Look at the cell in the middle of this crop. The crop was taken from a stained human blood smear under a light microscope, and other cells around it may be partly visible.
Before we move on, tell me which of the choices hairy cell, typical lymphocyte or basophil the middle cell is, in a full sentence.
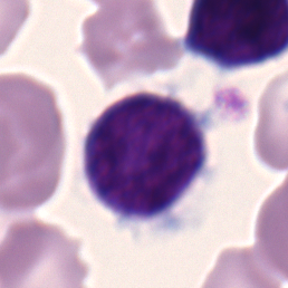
This particular crop is centered on a hairy cell.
